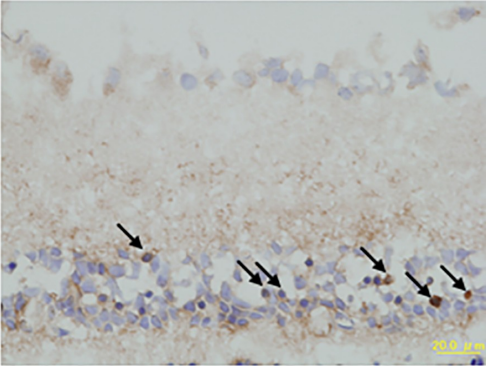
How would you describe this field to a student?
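A cross-section of retina shows, from top to bottom, a sparse ganglion cell layer, a broad finely fibrillar inner plexiform layer and the inner nuclear layer with densely packed blue nuclei. Several scattered cells within the inner nuclear layer are stained dark brown, and the inner plexiform layer carries a diffuse brownish granular stain.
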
